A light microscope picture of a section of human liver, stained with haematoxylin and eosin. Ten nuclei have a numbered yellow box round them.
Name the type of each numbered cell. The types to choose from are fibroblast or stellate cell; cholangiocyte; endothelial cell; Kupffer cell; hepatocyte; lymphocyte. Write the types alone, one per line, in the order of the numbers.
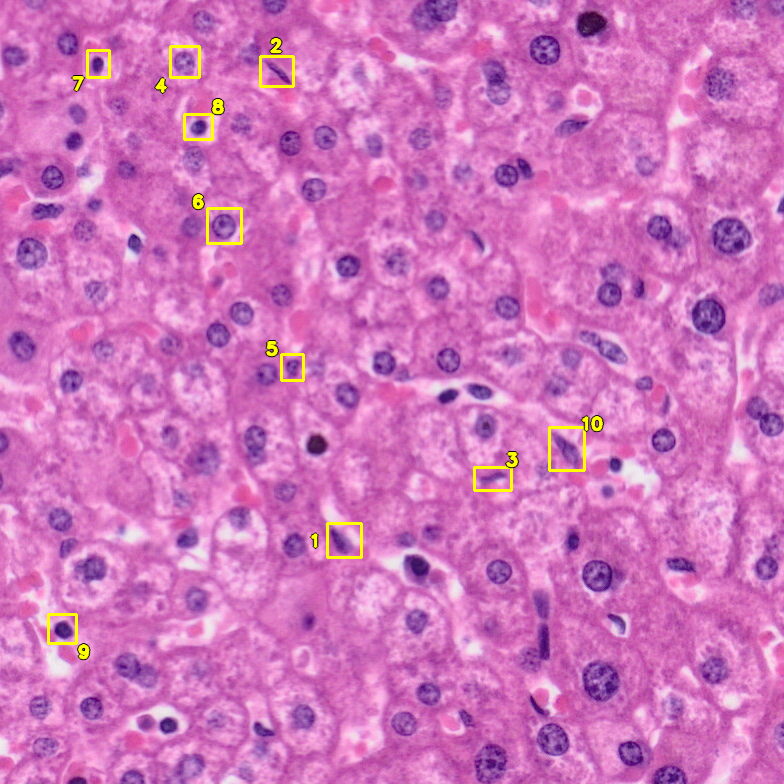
endothelial cell
endothelial cell
endothelial cell
hepatocyte
fibroblast or stellate cell
hepatocyte
lymphocyte
lymphocyte
lymphocyte
Kupffer cell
